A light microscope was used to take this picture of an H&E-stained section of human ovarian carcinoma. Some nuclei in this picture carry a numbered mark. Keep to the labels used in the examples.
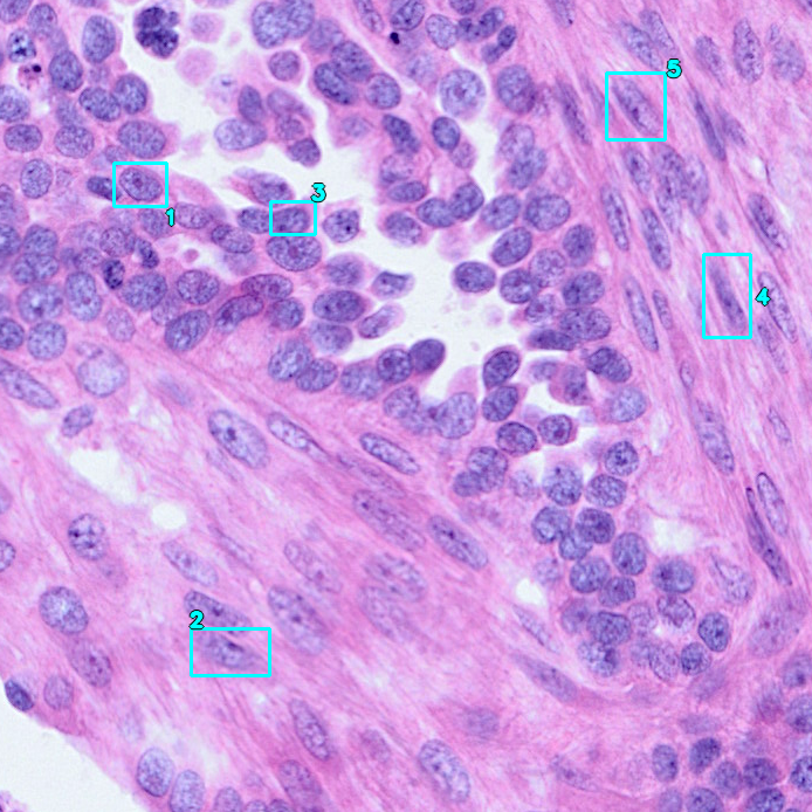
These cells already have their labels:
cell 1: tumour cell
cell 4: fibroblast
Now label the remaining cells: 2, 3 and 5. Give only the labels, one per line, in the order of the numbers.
fibroblast
tumour cell
fibroblast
